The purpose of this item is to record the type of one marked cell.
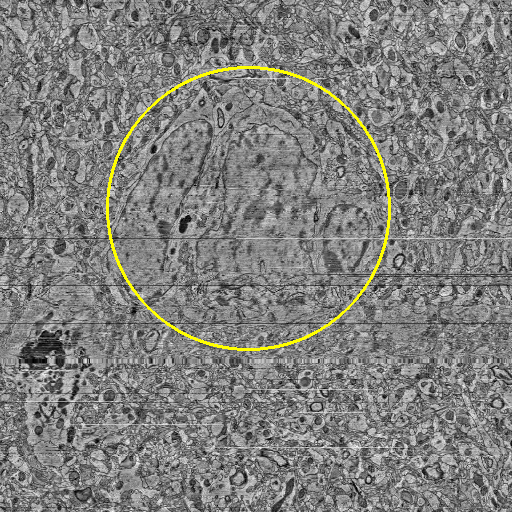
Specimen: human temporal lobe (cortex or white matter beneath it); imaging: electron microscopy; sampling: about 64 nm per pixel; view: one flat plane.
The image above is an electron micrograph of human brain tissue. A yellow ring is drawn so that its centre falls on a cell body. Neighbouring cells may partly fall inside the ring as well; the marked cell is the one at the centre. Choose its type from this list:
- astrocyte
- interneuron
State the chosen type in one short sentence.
What the ring marks here is an interneuron.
